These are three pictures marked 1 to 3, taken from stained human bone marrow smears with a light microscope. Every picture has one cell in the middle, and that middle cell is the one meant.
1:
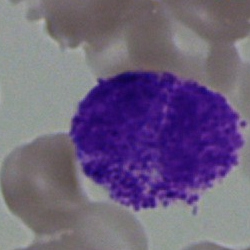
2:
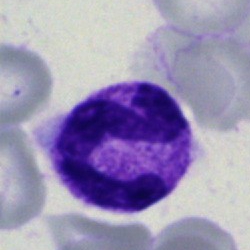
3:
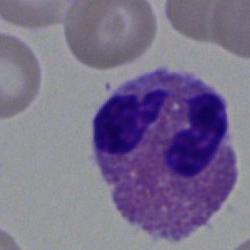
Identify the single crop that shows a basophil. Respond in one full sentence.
The one showing a basophil is crop 1.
